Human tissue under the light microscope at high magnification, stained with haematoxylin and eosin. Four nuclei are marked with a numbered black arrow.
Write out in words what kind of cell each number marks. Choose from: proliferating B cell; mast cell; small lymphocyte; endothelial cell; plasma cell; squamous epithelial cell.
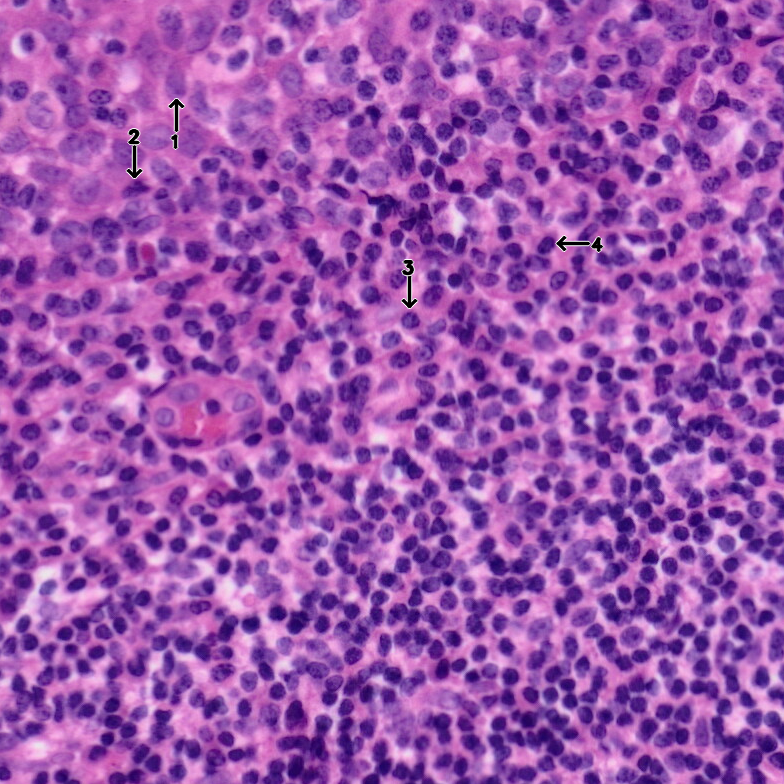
Cells 1 and 2 are squamous epithelial cells. Cells 3 and 4 are plasma cells.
